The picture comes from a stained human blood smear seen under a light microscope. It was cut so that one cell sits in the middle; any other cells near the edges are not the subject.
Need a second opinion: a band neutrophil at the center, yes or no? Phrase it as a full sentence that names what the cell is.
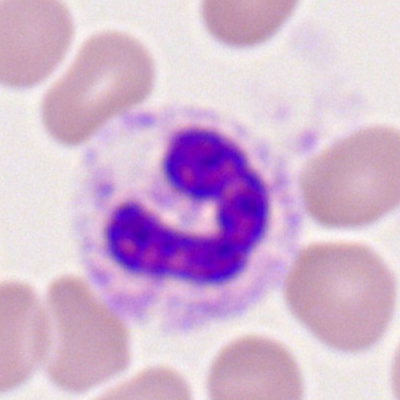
Yes, the cell found at the centre of the crop is a band neutrophil.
